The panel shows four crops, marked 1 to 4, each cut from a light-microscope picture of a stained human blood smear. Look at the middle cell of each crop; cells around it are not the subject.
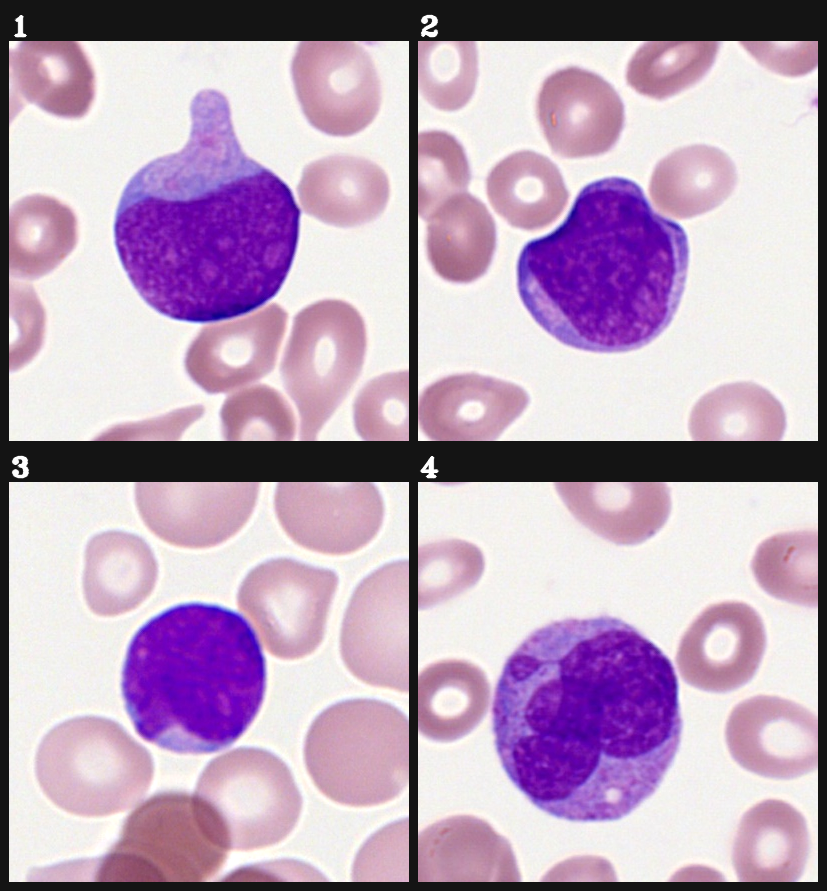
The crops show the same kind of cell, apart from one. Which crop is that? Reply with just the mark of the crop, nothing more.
4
